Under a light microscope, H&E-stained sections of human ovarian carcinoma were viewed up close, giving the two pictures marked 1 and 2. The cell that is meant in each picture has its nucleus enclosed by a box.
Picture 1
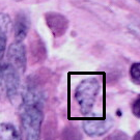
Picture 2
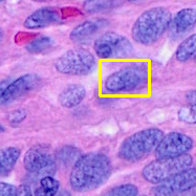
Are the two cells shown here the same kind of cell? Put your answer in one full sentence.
No, picture 1 shows a “macrophage or monocyte” and picture 2 shows a carcinoma cell.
